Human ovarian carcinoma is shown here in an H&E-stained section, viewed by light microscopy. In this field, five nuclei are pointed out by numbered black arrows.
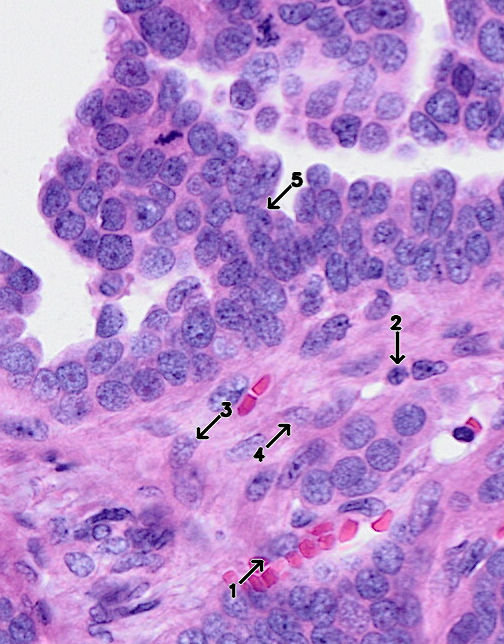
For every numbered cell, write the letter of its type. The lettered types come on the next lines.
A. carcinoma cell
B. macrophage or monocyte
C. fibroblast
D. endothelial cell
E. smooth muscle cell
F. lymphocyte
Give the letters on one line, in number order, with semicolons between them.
D; F; C; C; A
